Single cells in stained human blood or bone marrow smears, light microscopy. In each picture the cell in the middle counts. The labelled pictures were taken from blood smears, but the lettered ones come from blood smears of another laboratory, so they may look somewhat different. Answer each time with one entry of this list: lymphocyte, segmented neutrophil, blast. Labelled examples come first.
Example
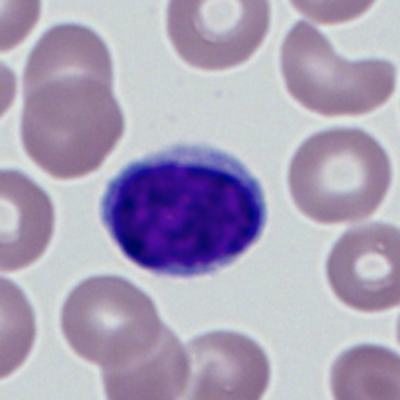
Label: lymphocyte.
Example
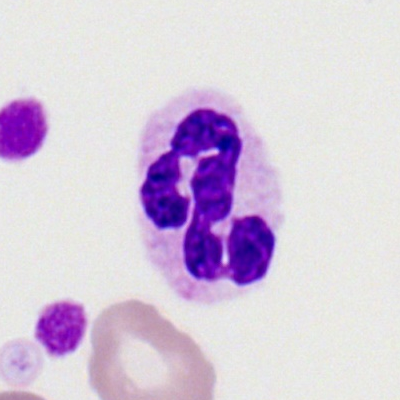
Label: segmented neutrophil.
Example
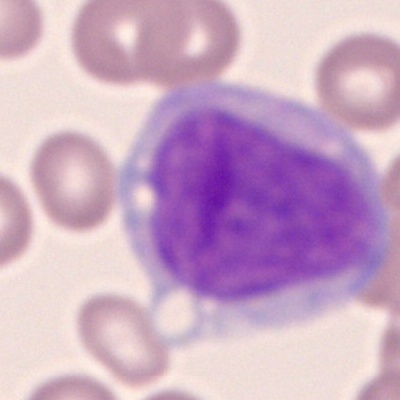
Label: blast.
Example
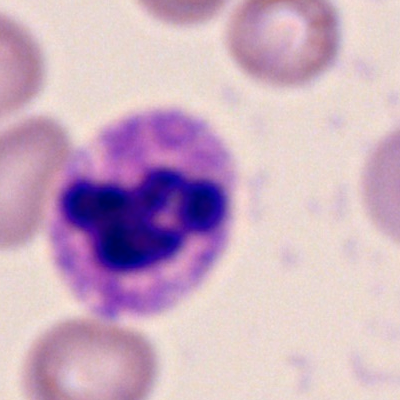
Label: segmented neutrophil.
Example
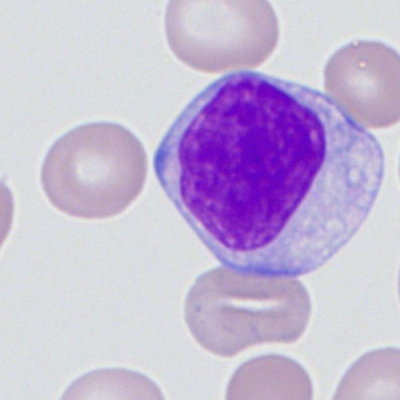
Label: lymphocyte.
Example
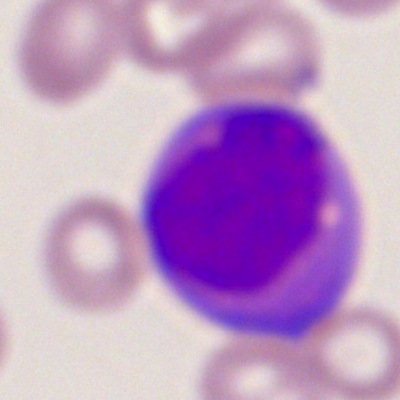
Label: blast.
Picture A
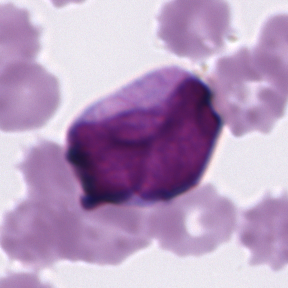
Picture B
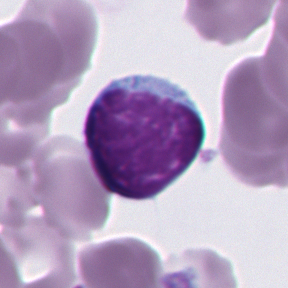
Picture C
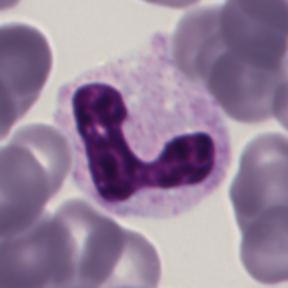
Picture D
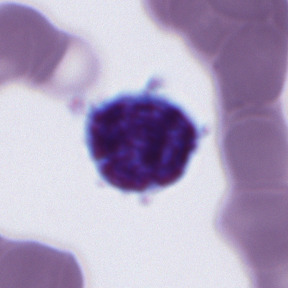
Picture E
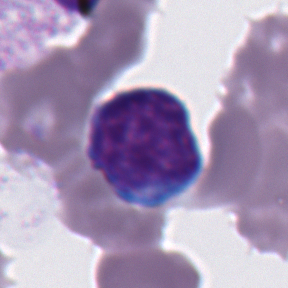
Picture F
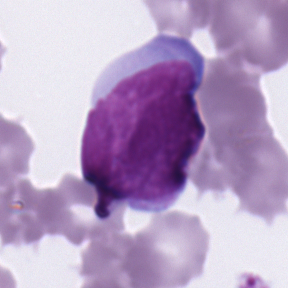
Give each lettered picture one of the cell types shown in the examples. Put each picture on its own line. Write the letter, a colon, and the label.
A: blast.
B: lymphocyte.
C: segmented neutrophil.
D: lymphocyte.
E: lymphocyte.
F: blast.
